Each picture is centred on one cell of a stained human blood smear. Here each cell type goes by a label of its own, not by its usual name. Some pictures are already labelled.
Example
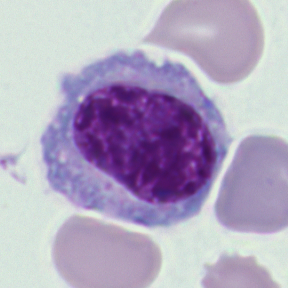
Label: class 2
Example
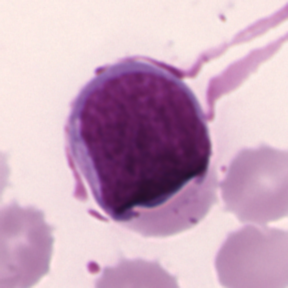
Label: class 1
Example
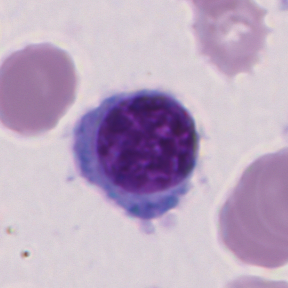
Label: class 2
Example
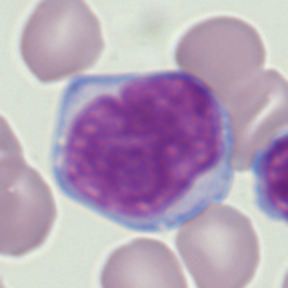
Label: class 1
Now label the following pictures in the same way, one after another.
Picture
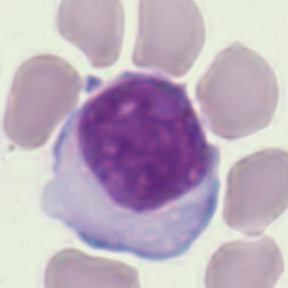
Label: class 2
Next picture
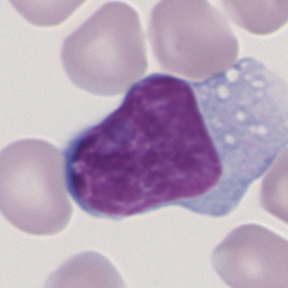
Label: class 1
